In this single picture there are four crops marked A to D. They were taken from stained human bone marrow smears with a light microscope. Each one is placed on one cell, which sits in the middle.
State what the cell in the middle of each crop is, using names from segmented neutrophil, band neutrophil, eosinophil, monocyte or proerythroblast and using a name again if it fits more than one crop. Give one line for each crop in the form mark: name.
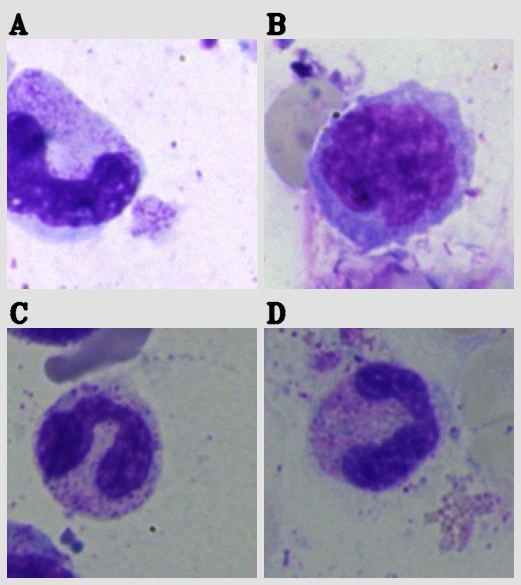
A: band neutrophil
B: monocyte
C: segmented neutrophil
D: band neutrophil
